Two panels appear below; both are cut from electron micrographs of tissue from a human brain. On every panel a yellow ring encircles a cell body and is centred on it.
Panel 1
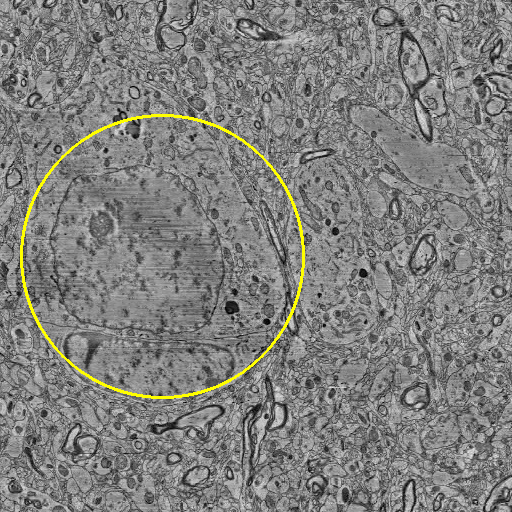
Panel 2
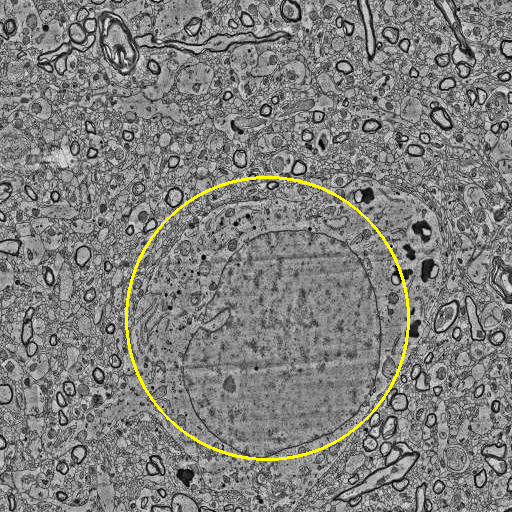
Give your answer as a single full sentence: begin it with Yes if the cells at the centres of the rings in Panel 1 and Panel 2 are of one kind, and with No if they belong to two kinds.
Yes, the cells in the middle of the rings in Panels 1 and 2 are of one kind.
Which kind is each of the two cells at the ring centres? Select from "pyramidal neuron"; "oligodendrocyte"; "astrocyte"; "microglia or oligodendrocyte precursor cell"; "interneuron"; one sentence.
The ring centre holds a pyramidal neuron in each of the two pictures.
